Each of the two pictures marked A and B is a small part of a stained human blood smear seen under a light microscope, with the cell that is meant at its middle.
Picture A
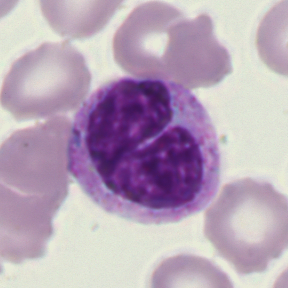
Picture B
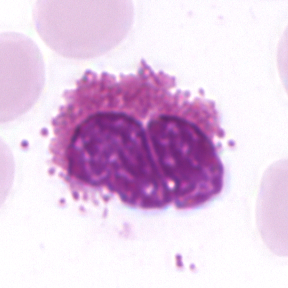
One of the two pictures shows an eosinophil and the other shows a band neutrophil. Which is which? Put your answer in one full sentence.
It is picture A that shows a band neutrophil, and picture B that shows an eosinophil.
